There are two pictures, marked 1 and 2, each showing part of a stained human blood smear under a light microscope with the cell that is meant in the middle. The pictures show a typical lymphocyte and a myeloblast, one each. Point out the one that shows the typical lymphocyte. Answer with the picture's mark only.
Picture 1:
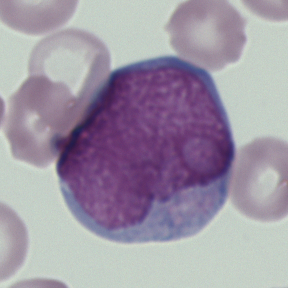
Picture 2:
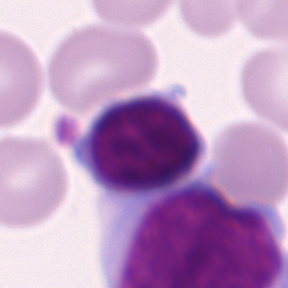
2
